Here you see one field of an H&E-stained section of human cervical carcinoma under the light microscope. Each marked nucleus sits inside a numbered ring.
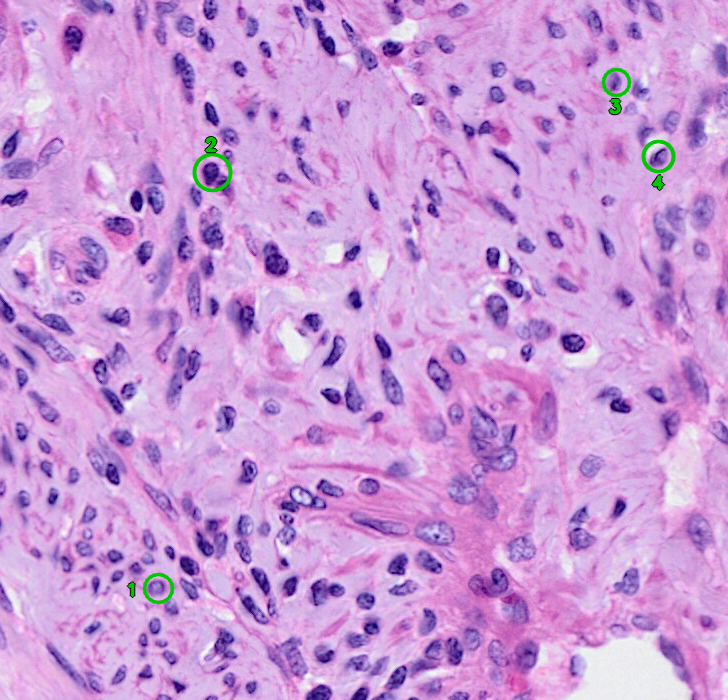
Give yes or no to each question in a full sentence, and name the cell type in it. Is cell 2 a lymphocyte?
Yes, the cell indicated by number 2 is a lymphocyte.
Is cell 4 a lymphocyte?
Yes, a lymphocyte is what the cell numbered 4 is.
